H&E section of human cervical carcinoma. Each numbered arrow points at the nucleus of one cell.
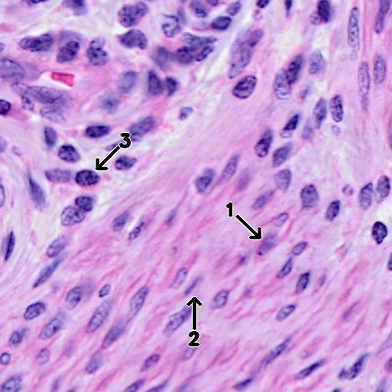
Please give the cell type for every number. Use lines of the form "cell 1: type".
cell 1: smooth muscle cell
cell 2: smooth muscle cell
cell 3: lymphocyte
